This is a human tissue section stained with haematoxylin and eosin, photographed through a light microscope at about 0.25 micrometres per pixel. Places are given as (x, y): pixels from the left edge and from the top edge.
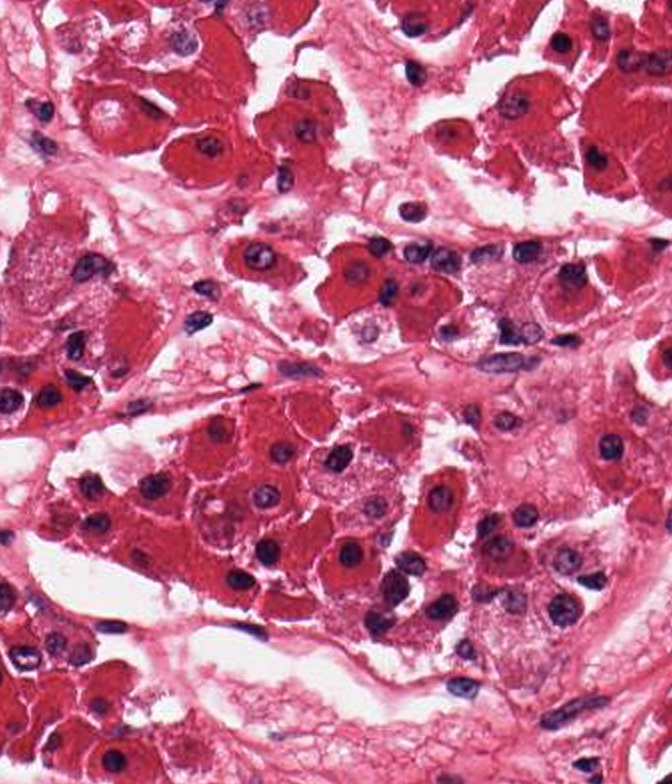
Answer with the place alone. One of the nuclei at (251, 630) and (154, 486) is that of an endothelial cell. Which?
(251, 630)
